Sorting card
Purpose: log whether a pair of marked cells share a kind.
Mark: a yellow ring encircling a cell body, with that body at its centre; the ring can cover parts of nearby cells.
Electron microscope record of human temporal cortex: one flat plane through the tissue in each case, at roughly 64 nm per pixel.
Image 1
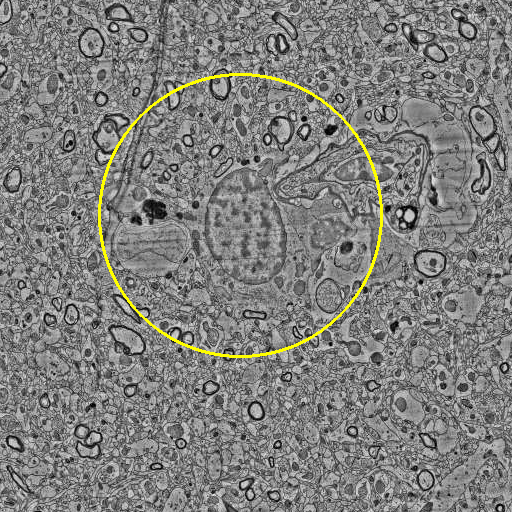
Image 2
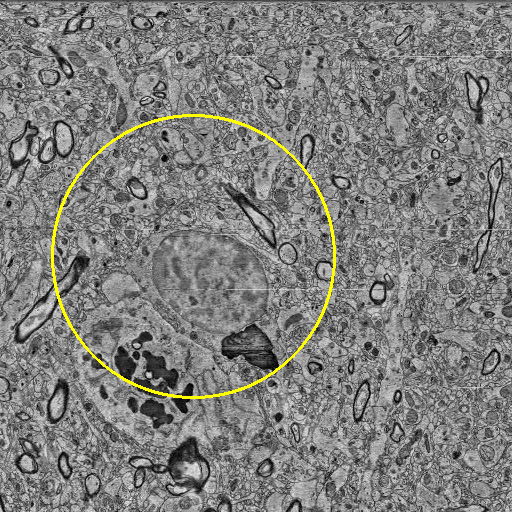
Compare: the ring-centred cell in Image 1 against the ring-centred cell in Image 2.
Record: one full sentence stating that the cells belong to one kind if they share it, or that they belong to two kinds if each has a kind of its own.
Across Images 1 and 2, the two ring-centred cells belong to one kind.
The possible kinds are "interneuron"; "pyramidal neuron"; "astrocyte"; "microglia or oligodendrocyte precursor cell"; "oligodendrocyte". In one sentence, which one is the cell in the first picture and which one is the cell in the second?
Each cell at the centre of a ring is an oligodendrocyte.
